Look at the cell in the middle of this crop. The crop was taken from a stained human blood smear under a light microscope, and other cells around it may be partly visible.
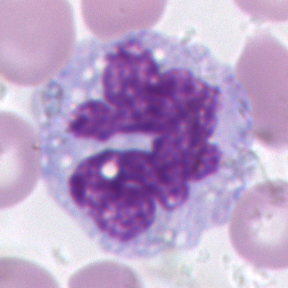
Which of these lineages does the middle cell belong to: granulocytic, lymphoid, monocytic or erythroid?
monocytic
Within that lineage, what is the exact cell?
monocyte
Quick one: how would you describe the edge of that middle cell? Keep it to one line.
The cell outline lacks smoothness, being ragged or extended into projections.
